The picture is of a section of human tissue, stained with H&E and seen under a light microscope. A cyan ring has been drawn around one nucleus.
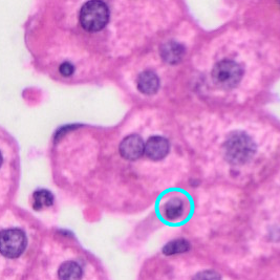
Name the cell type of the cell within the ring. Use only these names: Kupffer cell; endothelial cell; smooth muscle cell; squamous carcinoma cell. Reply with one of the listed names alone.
Kupffer cell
